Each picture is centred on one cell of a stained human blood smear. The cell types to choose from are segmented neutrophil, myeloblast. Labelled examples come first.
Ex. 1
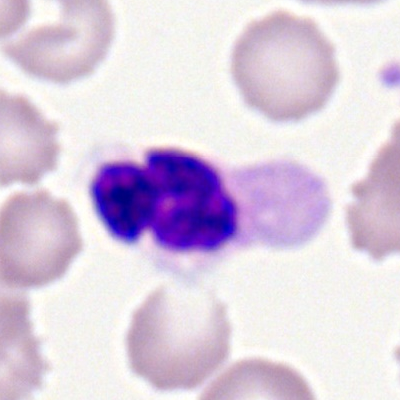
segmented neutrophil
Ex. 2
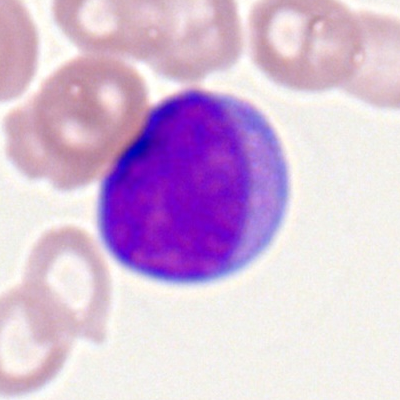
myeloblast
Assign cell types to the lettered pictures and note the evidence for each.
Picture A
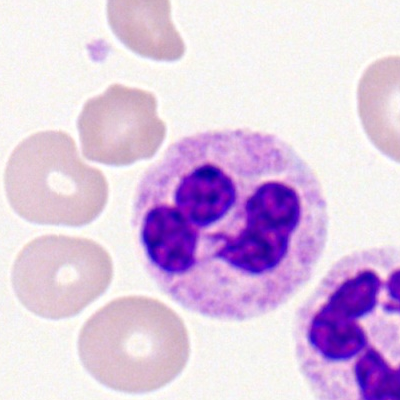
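segmented neutrophil. The cytoplasm is plentiful and pale pinkish-lilac.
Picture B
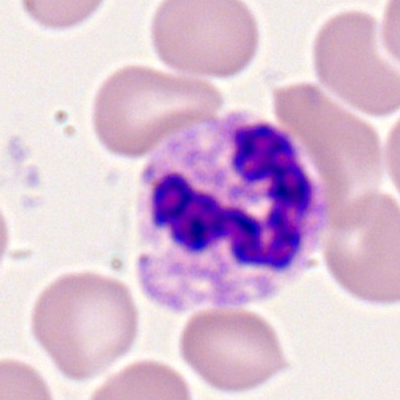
segmented neutrophil. Ample pale pinkish-lilac cytoplasm surrounds the nucleus.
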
